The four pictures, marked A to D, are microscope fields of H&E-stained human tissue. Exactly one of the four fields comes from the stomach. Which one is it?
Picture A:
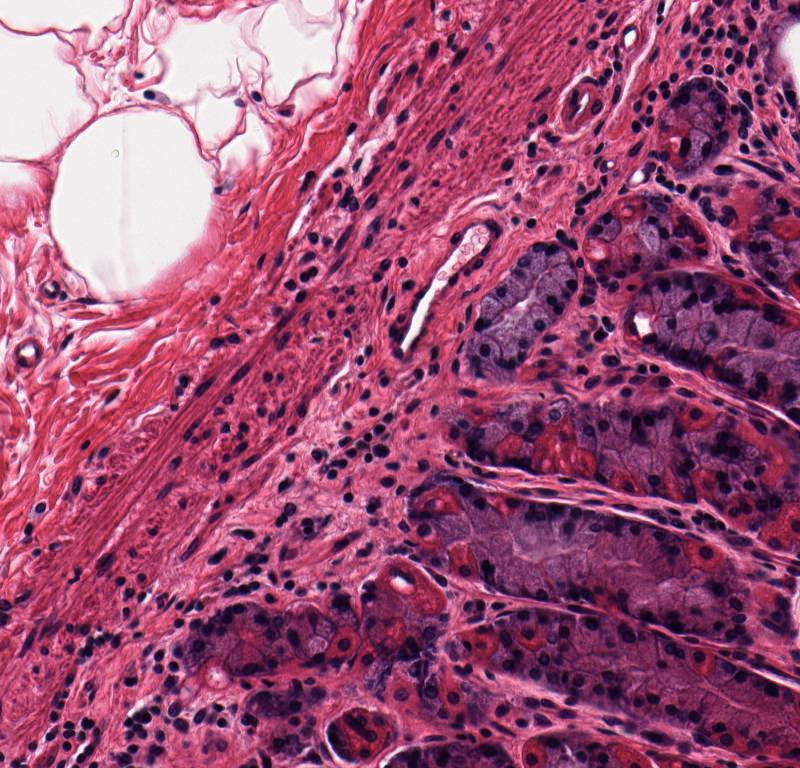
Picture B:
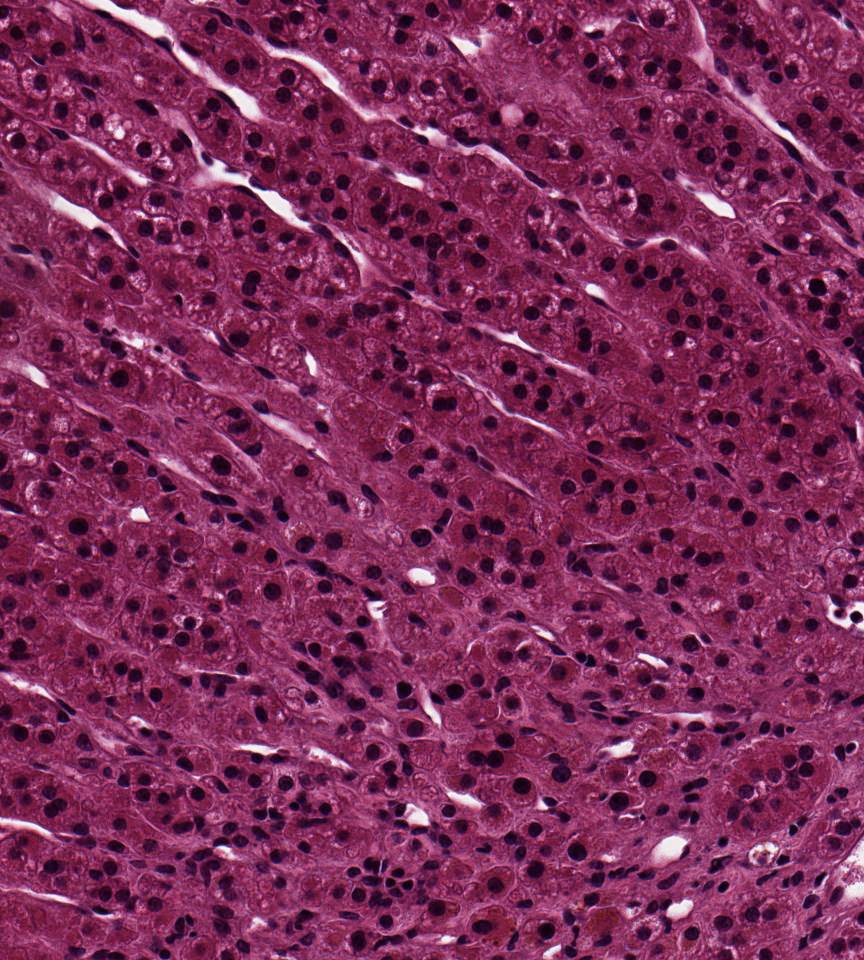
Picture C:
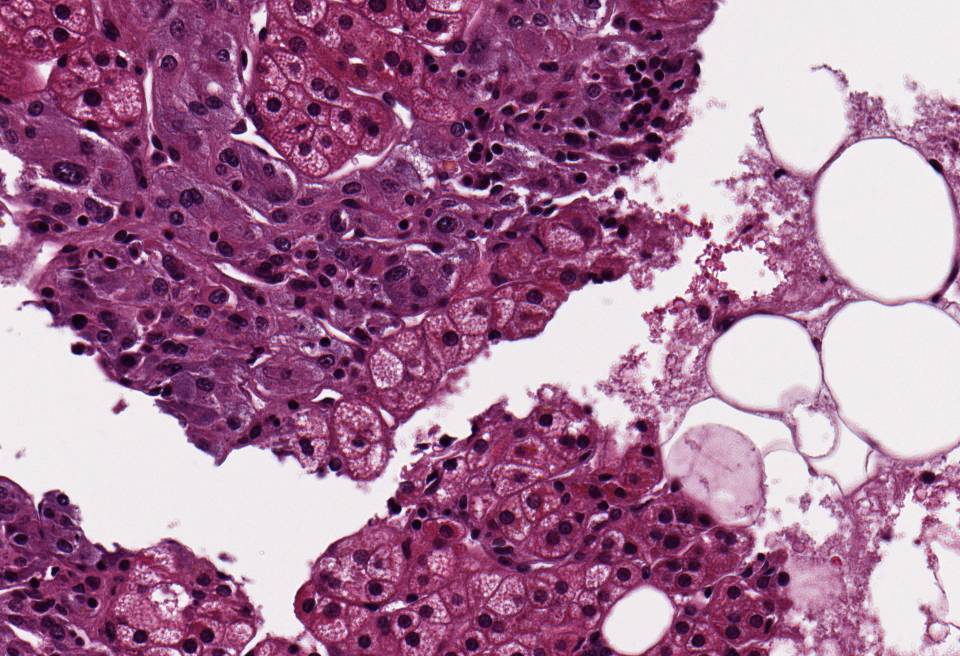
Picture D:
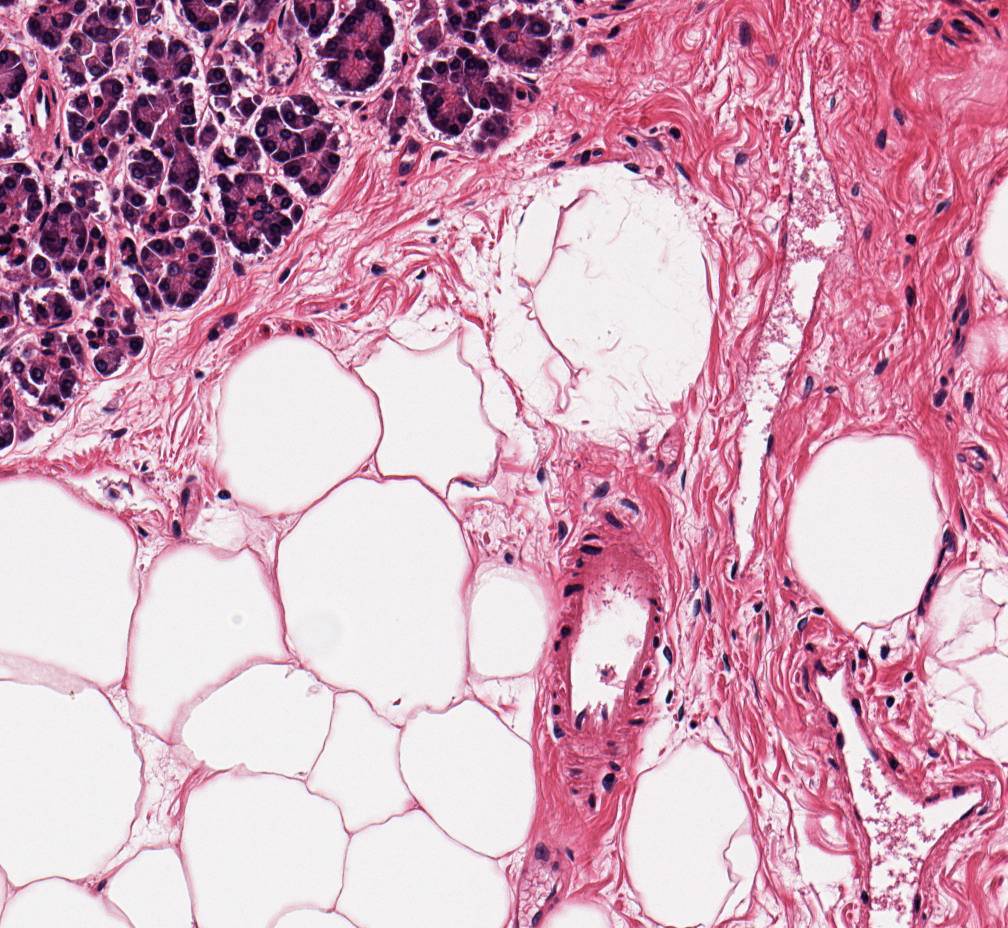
A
